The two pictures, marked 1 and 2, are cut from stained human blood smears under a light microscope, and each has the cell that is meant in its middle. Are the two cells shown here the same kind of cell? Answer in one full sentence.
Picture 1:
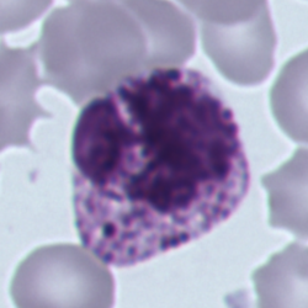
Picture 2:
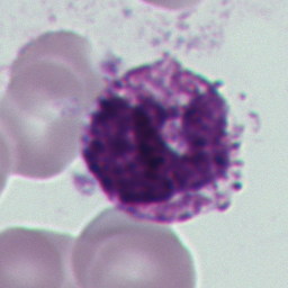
Yes, they are the same type: both are basophils.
